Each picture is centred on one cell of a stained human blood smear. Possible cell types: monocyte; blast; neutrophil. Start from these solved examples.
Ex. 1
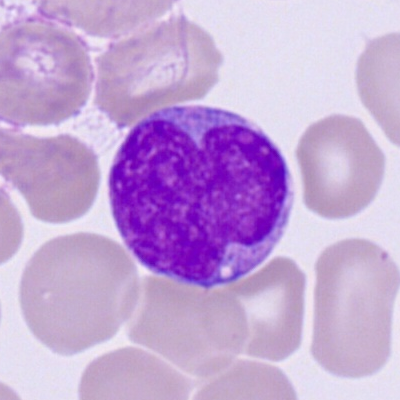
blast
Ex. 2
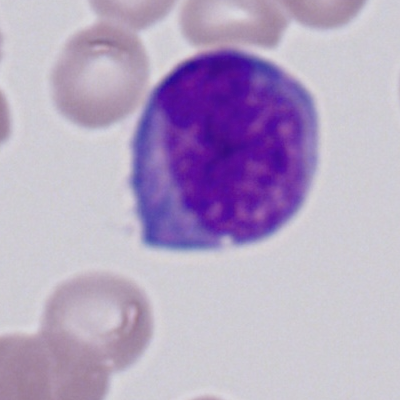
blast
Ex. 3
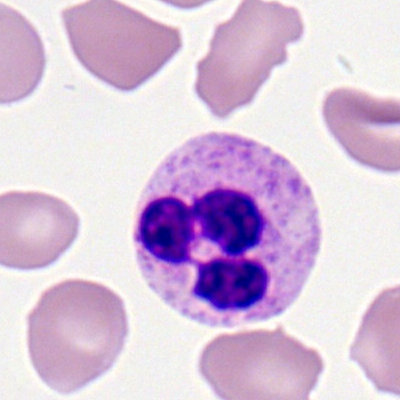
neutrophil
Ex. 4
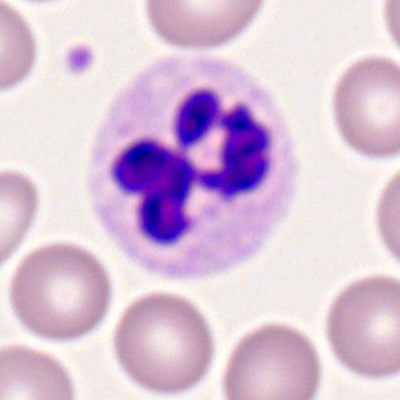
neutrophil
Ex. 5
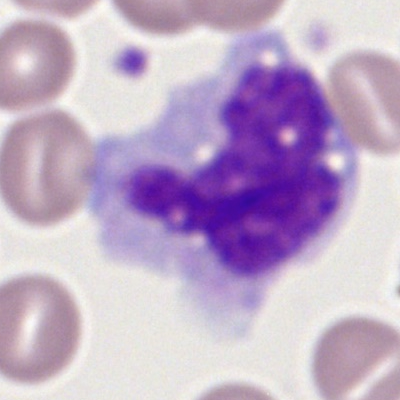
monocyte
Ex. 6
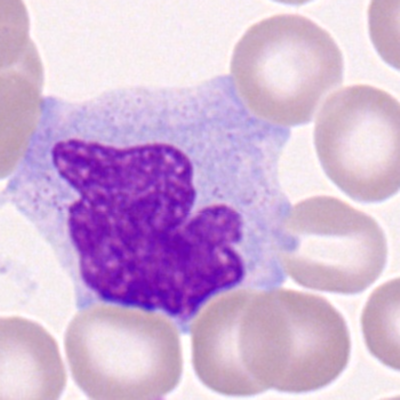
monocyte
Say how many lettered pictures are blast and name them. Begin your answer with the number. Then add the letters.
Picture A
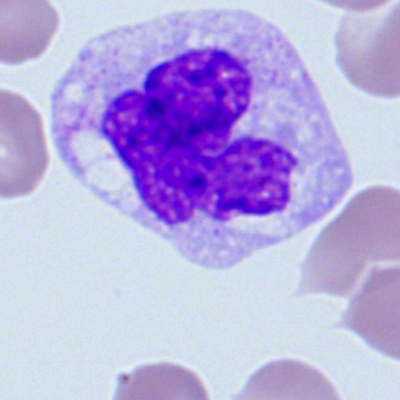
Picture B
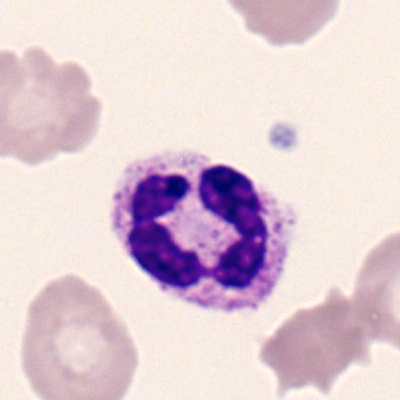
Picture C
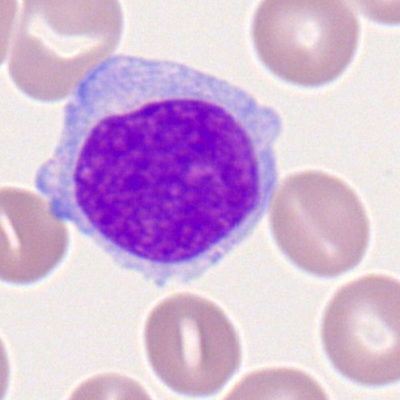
Count: 1 (C)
